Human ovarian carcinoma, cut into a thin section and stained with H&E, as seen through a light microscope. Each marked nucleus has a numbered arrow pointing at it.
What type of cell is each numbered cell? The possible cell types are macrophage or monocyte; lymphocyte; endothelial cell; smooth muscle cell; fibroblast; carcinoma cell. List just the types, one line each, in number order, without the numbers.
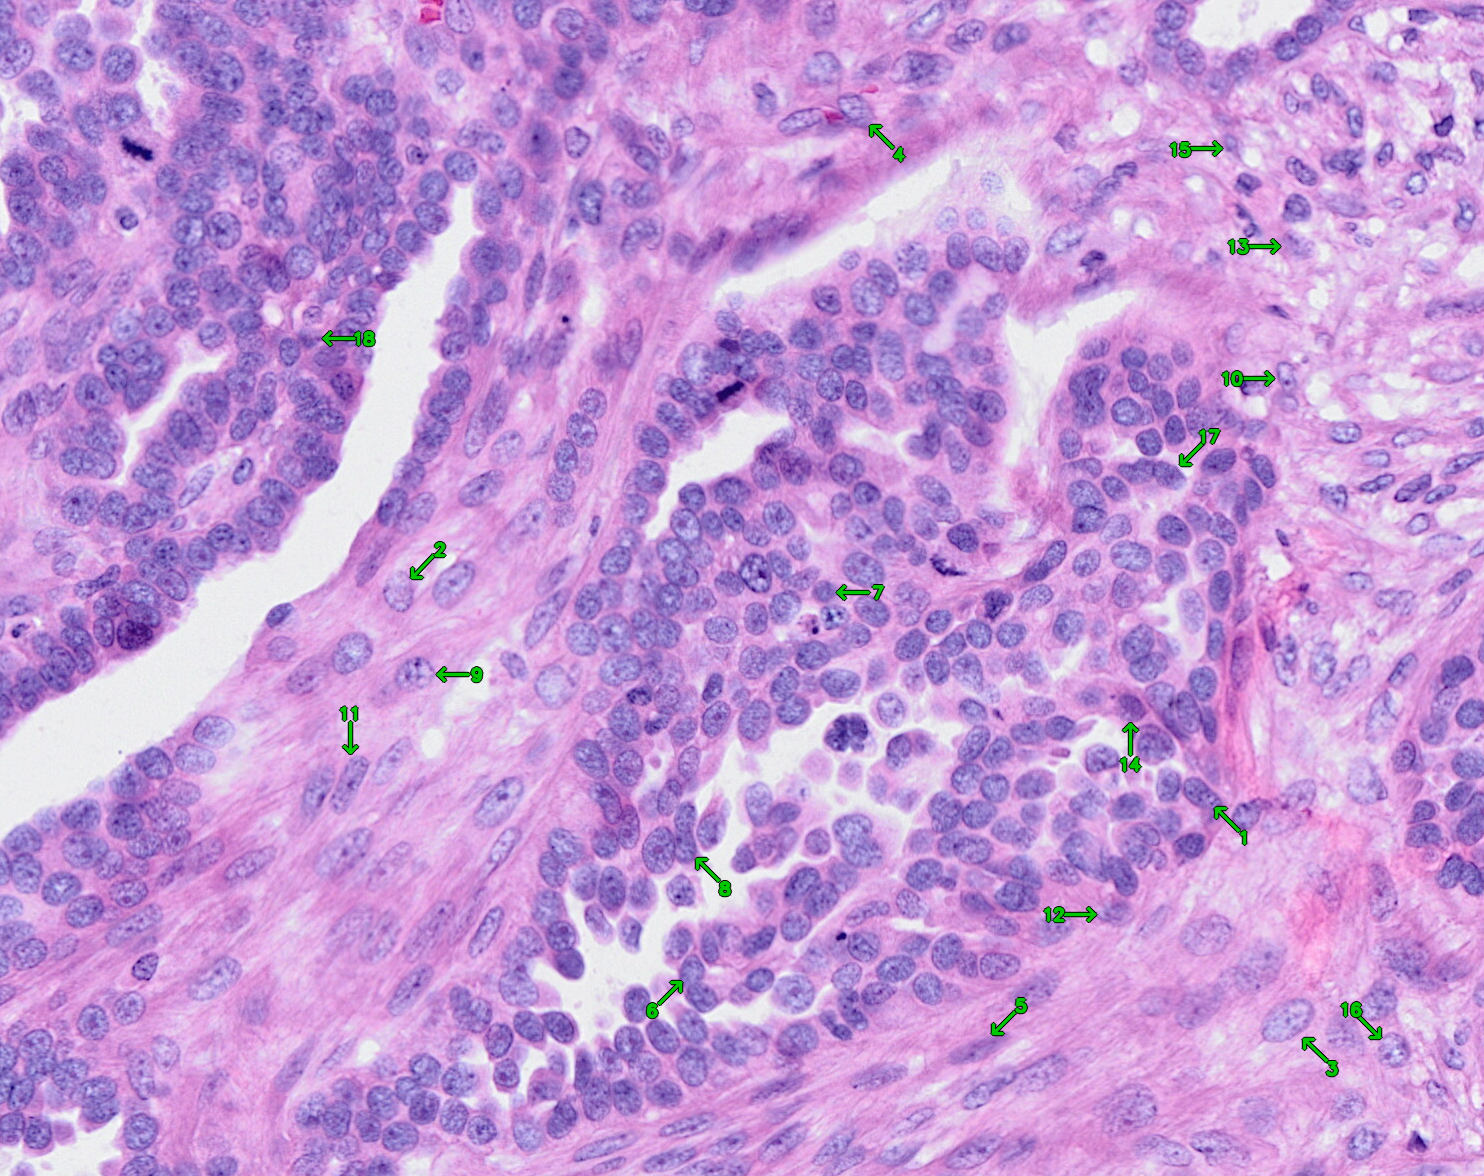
carcinoma cell
fibroblast
fibroblast
endothelial cell
fibroblast
carcinoma cell
carcinoma cell
carcinoma cell
fibroblast
fibroblast
fibroblast
fibroblast
fibroblast
carcinoma cell
fibroblast
fibroblast
carcinoma cell
carcinoma cell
